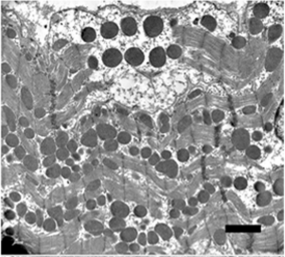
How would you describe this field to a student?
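This is heart muscle cell cytoplasm, but far from orderly. Instead of straight parallel myofibrils, the contractile bands bend and wave in irregular streaks, and the striations no longer line up. Many round, dark mitochondria of varying size crowd together in clusters between the disordered bands rather than sitting in neat rows. In the upper middle a broad pale space with scattered wispy material opens in the cytoplasm, a vacuolated region. Compare this with normal heart muscle, where sarcomeres are aligned and mitochondria are oval and evenly spaced.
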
